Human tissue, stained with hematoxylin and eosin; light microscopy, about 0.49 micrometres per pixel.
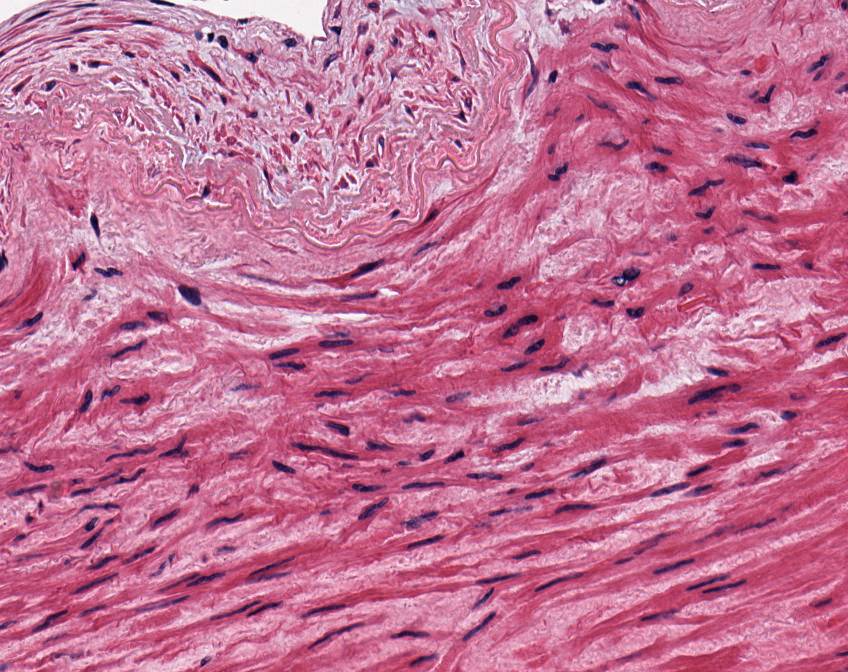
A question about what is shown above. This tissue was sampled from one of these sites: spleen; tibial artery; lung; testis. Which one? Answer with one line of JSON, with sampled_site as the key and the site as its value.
{"sampled_site": "tibial artery"}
